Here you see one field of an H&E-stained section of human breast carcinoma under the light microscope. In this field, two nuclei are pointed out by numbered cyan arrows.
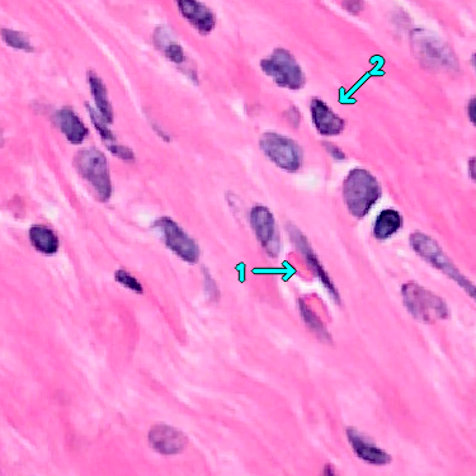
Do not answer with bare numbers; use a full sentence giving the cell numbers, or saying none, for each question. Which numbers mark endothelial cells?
Among the numbered cells, cell 1 alone is an endothelial cell.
